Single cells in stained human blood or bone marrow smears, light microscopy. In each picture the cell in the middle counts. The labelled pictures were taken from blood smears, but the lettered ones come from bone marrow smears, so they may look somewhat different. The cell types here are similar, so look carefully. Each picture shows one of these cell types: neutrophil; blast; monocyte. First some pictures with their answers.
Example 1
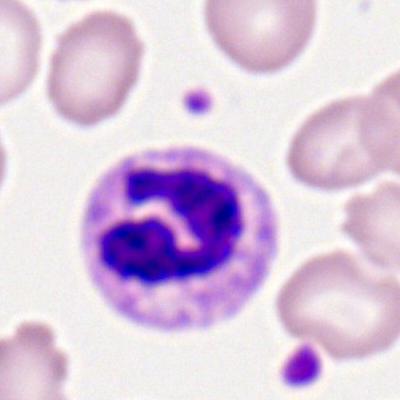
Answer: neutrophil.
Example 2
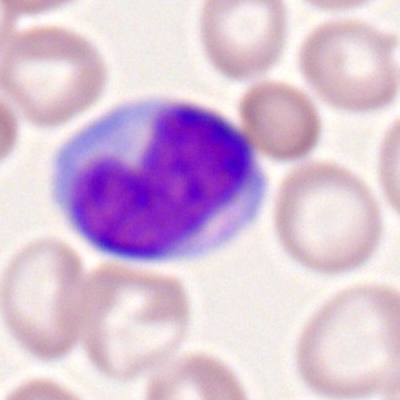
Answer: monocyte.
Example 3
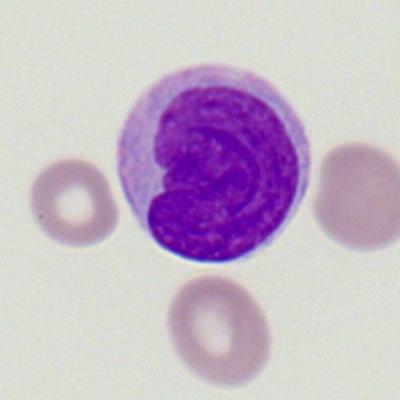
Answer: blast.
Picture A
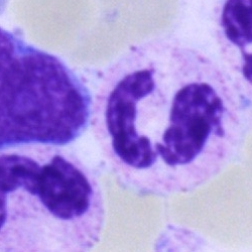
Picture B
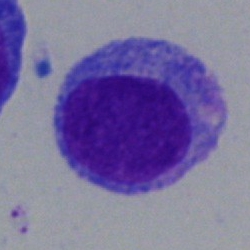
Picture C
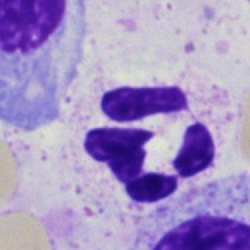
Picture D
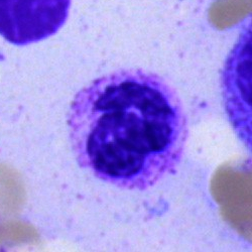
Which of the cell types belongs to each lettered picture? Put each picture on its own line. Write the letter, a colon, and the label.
A: neutrophil.
B: blast.
C: neutrophil.
D: neutrophil.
